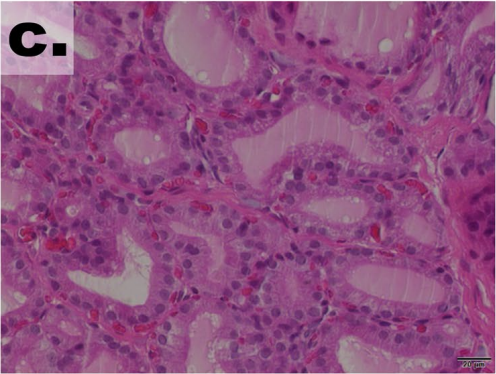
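This is thyroid gland at high power, showing follicles lined by a single layer of cuboidal follicular epithelial cells. Their round purple nuclei sit in a row around each follicle, and the lumina are wide and filled with smooth pale pink colloid, some with small clear spaces along its edge. Thin strands of pink connective tissue with red blood cells in capillaries run between neighbouring follicles.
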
